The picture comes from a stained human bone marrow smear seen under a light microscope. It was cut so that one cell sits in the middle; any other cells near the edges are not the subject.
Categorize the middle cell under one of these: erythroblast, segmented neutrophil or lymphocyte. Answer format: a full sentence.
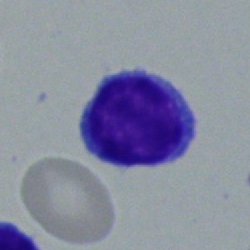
To answer, the cell in the center of the crop is a lymphocyte.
